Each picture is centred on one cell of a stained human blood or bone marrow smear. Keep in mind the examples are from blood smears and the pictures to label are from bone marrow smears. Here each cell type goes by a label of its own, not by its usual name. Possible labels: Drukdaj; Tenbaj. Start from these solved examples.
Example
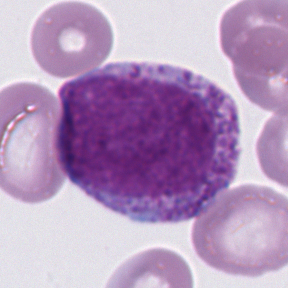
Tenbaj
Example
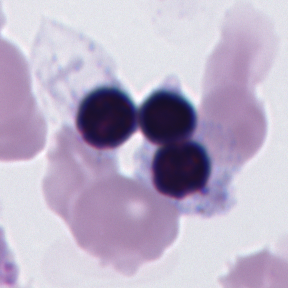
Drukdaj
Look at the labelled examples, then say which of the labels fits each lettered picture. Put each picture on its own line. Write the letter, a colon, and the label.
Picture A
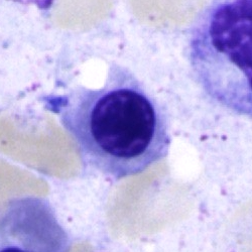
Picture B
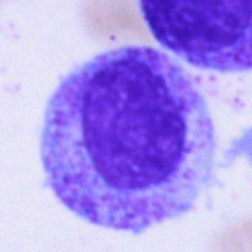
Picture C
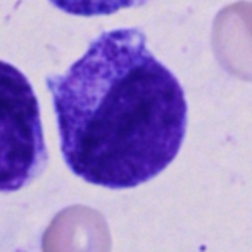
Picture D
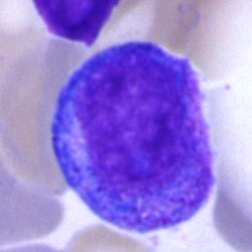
A: Drukdaj
B: Tenbaj
C: Tenbaj
D: Tenbaj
